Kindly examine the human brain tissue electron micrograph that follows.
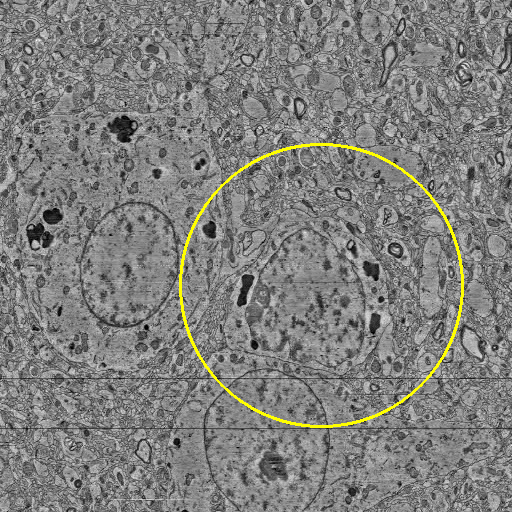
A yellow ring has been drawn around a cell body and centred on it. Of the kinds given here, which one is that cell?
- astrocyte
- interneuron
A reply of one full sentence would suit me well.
The micrograph's ringed cell, the one at the ring's centre, is an interneuron.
